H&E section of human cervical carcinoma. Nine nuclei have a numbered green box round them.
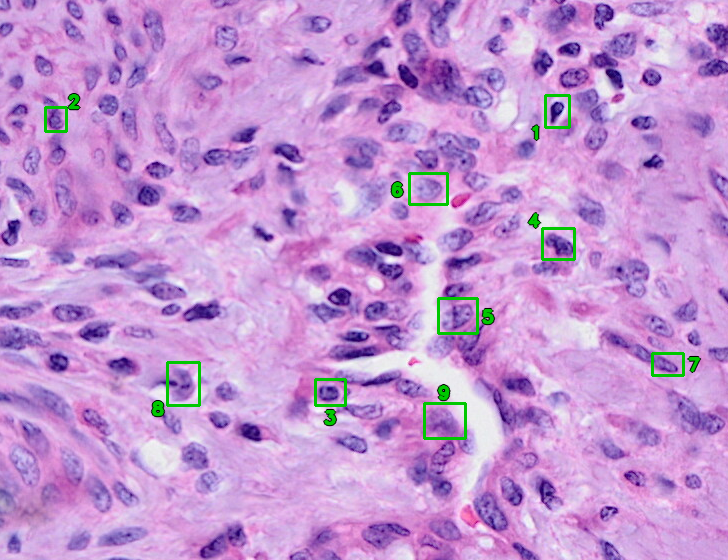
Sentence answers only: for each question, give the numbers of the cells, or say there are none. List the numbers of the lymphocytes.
The cells referred to by numbers 1, 3 and 4 are lymphocytes.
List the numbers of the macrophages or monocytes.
Exactly one numbered cell is a macrophage or monocyte, and that cell is number 8.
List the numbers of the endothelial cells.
To be specific, the cells numbered 5, 6 and 9 are endothelial cells.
